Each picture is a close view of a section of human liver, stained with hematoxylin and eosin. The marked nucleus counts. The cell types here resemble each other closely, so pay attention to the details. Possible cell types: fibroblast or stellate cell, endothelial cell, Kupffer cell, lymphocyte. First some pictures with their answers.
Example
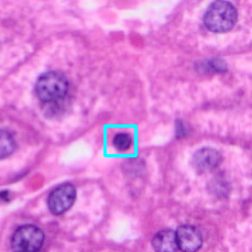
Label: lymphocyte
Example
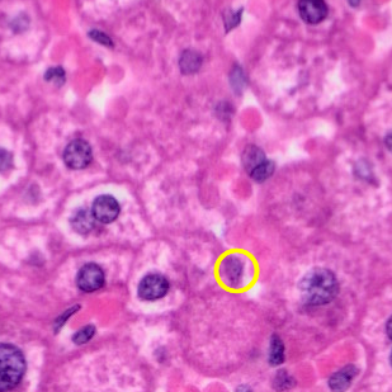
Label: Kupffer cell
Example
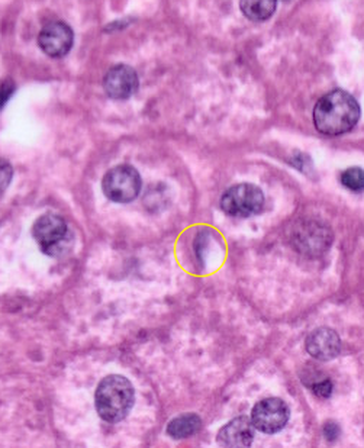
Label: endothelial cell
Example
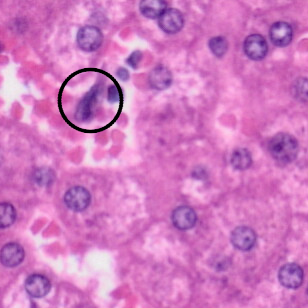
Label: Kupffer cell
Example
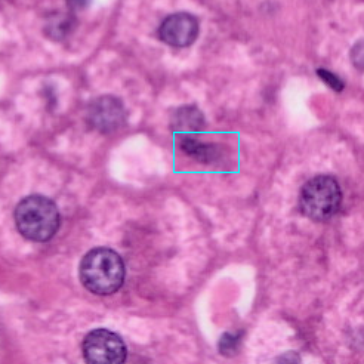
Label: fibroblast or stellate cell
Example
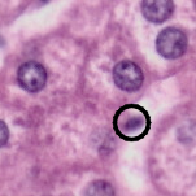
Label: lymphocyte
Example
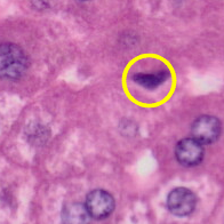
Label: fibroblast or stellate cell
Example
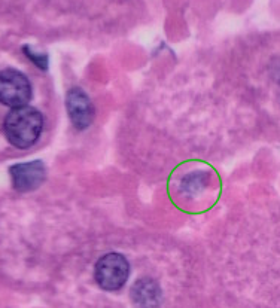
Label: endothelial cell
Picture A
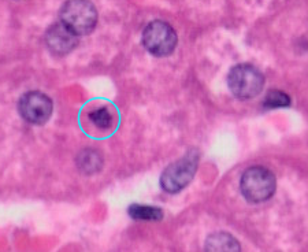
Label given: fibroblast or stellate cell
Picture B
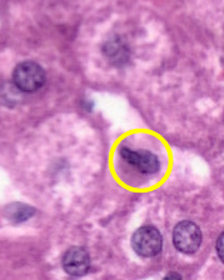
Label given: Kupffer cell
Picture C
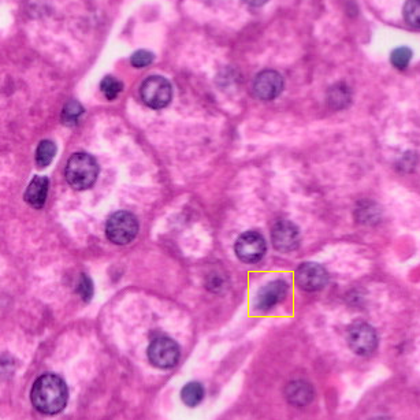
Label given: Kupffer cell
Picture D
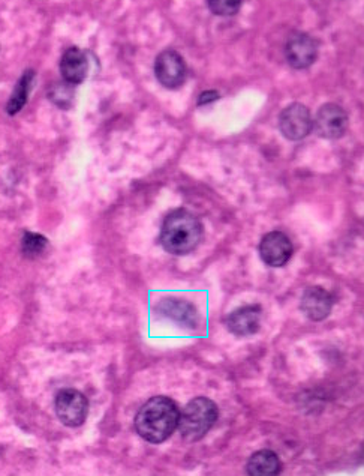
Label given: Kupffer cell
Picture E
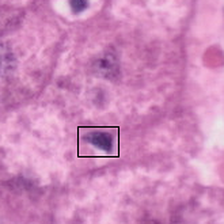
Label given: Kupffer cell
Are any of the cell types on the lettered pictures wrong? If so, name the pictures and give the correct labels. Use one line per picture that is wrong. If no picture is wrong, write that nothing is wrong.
E should be endothelial cell, not Kupffer cell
